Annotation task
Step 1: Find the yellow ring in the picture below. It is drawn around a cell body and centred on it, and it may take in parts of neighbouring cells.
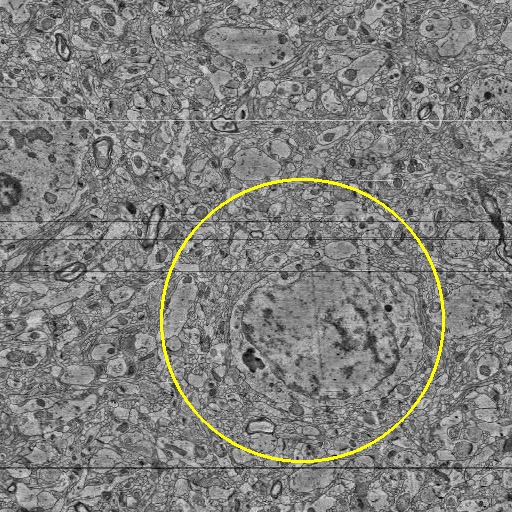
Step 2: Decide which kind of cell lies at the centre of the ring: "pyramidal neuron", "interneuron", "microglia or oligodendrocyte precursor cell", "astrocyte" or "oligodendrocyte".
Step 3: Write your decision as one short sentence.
The kind of cell at the ring's centre is an interneuron.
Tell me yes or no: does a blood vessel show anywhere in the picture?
No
